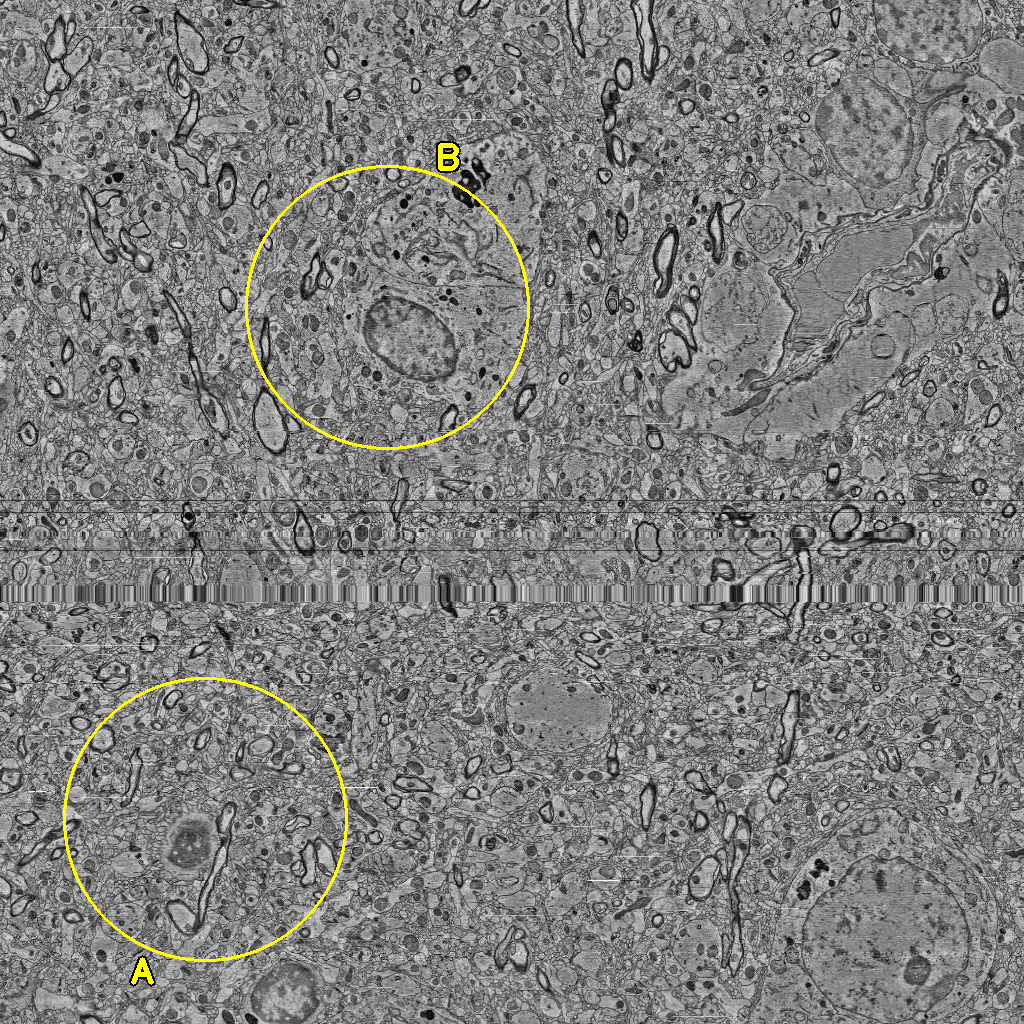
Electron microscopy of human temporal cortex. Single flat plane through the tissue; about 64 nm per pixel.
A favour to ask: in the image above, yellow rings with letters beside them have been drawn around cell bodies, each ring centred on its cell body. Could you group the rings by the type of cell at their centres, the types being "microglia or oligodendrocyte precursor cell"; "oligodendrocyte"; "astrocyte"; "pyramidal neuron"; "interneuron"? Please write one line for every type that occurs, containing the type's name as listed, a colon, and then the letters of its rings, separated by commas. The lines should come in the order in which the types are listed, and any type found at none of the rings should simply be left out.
microglia or oligodendrocyte precursor cell: B
oligodendrocyte: A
